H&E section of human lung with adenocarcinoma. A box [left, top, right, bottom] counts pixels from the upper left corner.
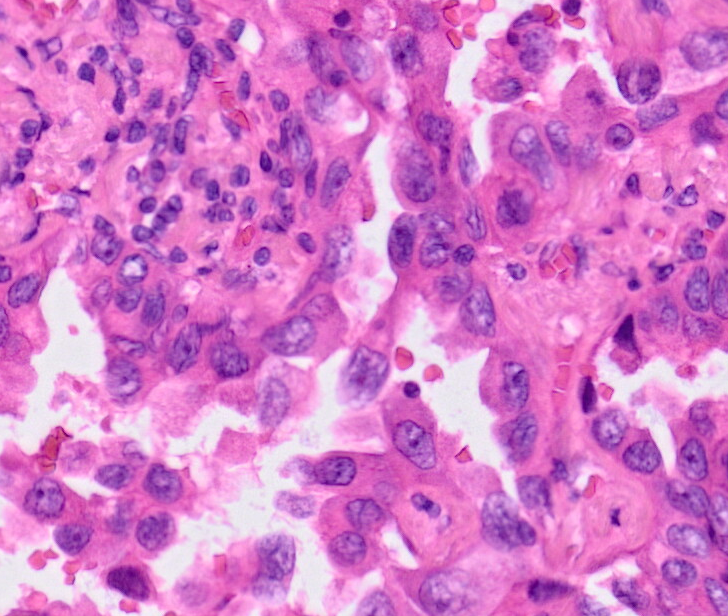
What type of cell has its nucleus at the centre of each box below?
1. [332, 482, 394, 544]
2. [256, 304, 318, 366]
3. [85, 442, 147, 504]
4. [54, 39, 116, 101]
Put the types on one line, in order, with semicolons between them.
carcinoma cell; carcinoma cell; carcinoma cell; lymphocyte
